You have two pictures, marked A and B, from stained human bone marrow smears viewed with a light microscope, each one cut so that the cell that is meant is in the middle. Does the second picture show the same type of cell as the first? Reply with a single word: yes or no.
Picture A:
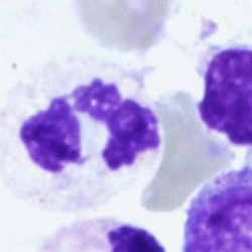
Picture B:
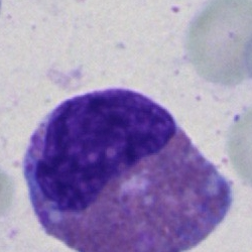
no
